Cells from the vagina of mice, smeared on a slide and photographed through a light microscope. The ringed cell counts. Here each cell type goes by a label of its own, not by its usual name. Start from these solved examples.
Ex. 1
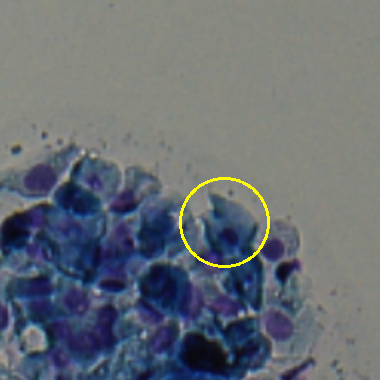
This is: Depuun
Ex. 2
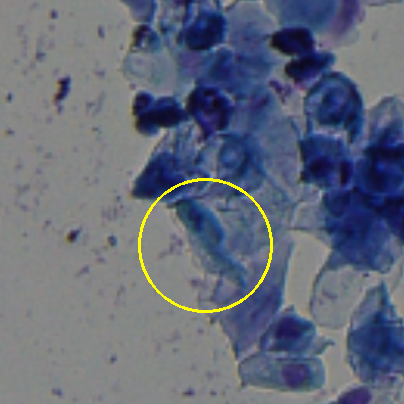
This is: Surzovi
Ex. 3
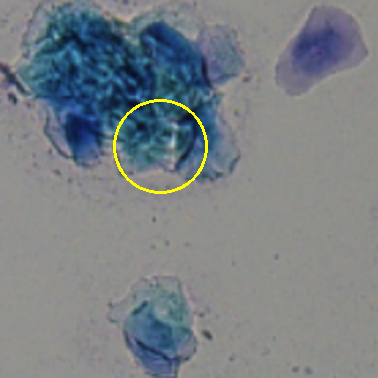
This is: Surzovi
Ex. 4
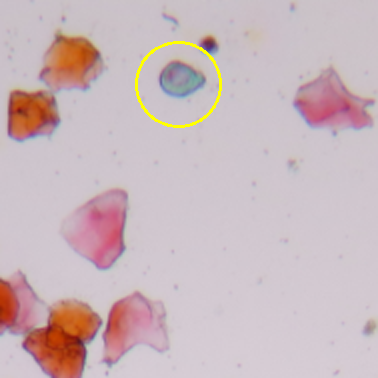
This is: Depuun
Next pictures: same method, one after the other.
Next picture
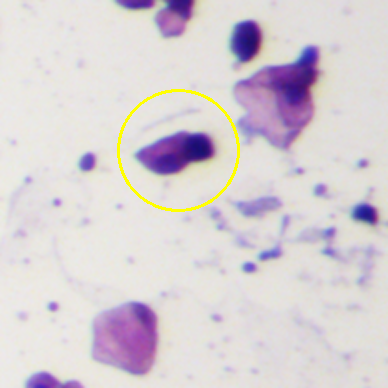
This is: Depuun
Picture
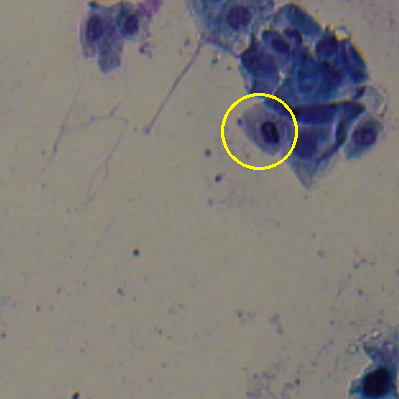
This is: Depuun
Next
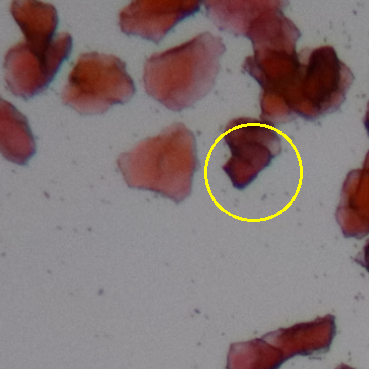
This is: Surzovi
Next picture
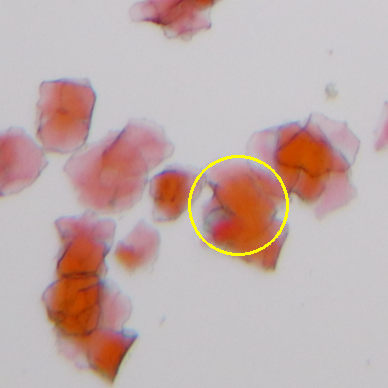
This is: Surzovi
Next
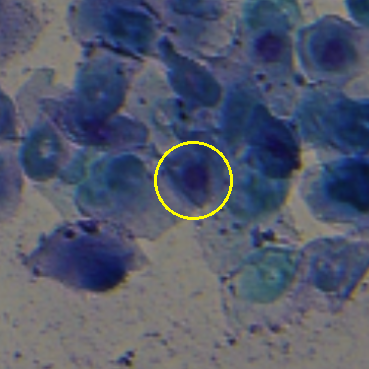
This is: Depuun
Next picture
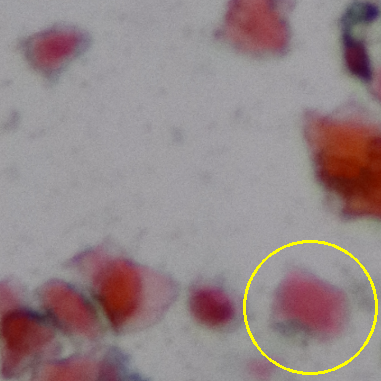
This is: Surzovi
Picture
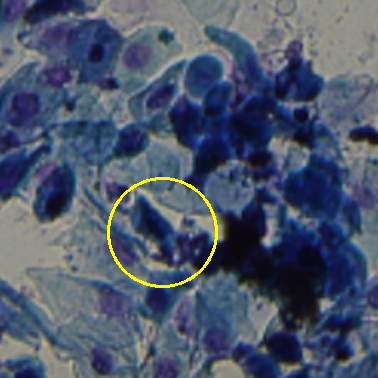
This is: Surzovi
